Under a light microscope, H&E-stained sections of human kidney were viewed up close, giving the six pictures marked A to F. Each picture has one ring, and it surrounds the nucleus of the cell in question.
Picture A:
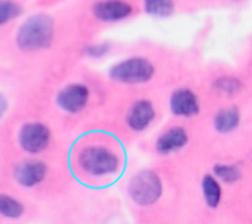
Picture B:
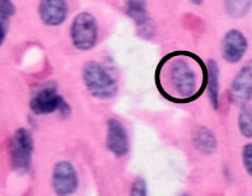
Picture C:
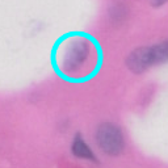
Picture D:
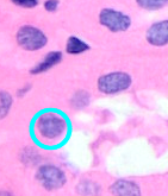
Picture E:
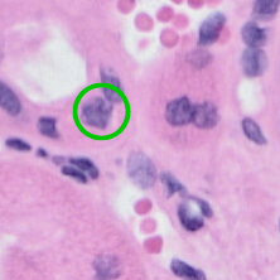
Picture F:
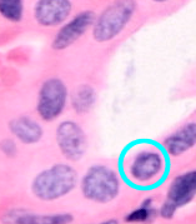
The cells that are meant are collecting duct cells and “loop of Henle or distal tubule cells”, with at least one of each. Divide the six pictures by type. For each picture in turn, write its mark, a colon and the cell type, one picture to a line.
A: loop of Henle or distal tubule cell
B: loop of Henle or distal tubule cell
C: loop of Henle or distal tubule cell
D: loop of Henle or distal tubule cell
E: collecting duct cell
F: collecting duct cell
